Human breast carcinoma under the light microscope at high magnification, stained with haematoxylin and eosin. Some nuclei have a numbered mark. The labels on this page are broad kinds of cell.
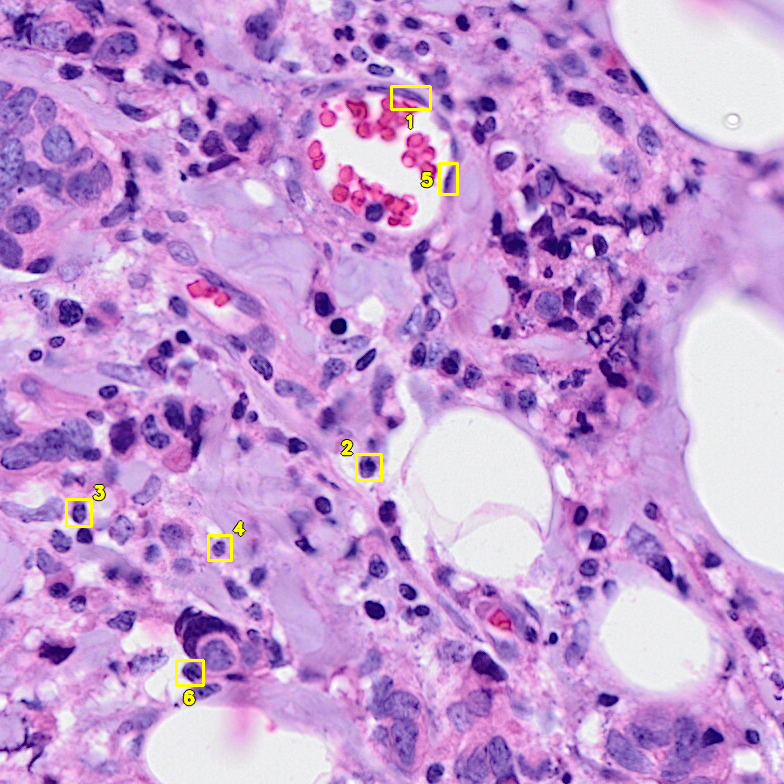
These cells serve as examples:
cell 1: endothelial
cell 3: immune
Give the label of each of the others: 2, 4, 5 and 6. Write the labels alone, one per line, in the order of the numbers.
immune
immune
endothelial
immune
